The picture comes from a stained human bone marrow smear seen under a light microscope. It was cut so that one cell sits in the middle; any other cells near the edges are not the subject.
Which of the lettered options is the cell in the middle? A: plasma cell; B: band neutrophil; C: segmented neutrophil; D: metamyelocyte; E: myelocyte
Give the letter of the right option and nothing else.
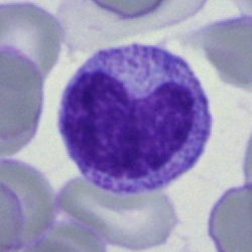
D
